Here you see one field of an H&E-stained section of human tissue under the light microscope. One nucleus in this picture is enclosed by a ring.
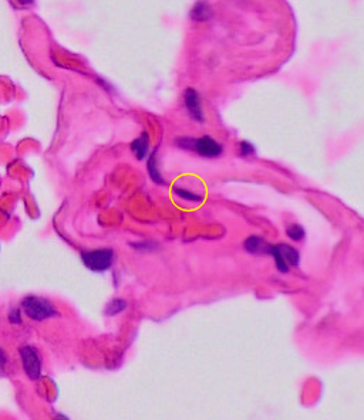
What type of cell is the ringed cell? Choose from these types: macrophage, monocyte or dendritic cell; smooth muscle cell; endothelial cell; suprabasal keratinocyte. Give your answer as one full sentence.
The identity of the ringed cell is that of an endothelial cell.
